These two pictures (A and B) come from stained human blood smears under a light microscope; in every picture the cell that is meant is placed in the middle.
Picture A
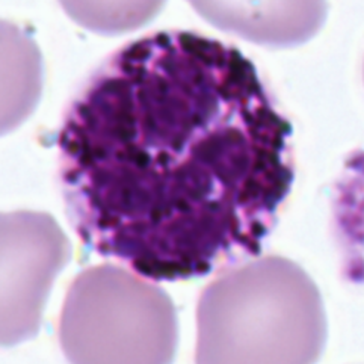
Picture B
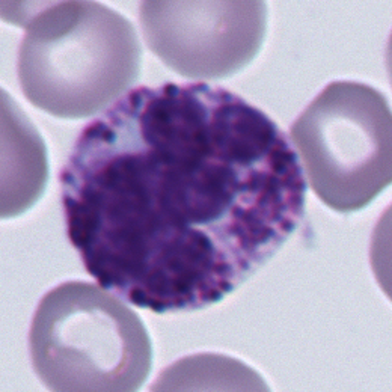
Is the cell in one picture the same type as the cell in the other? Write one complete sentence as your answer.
Yes, they are the same type: both are basophils.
